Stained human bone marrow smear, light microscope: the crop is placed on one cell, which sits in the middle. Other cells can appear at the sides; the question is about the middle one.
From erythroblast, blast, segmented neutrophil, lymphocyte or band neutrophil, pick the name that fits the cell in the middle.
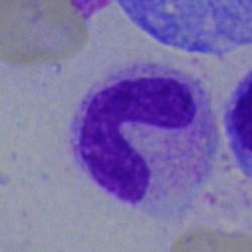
band neutrophil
